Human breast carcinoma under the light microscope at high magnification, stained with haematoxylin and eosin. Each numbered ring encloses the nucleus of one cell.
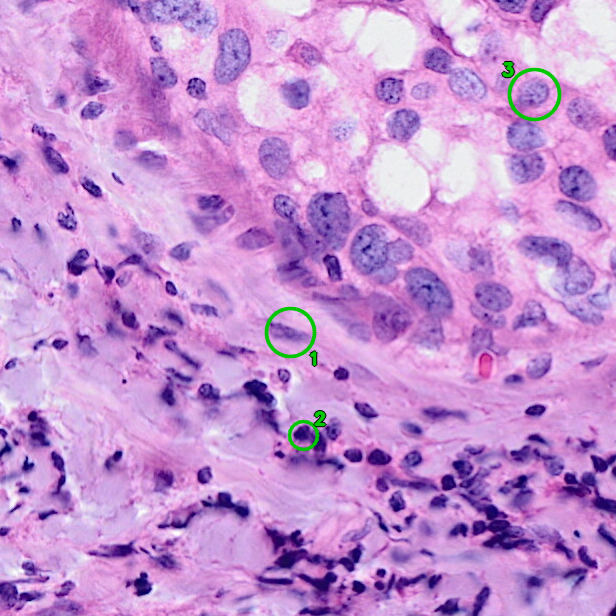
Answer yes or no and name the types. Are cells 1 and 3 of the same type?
No, as for cell 1, it is a fibroblast, and cell 3 is a carcinoma cell.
